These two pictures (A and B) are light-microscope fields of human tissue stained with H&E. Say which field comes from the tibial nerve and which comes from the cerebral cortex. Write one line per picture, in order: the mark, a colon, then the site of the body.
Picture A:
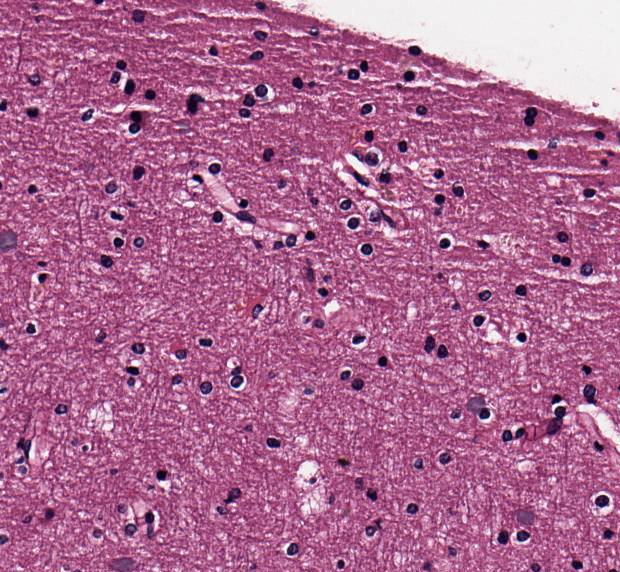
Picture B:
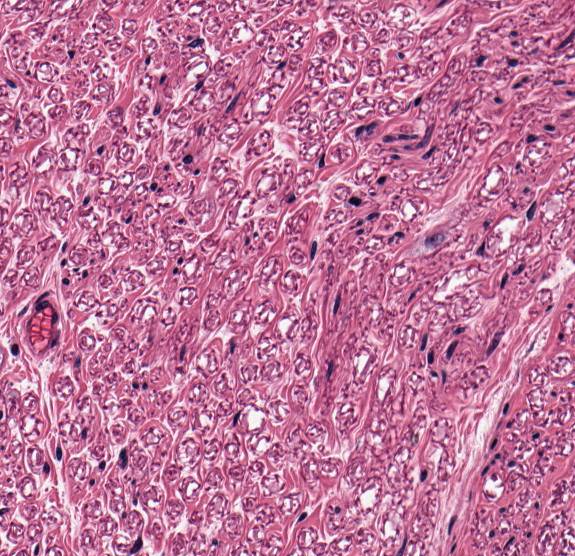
A: cerebral cortex
B: tibial nerve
